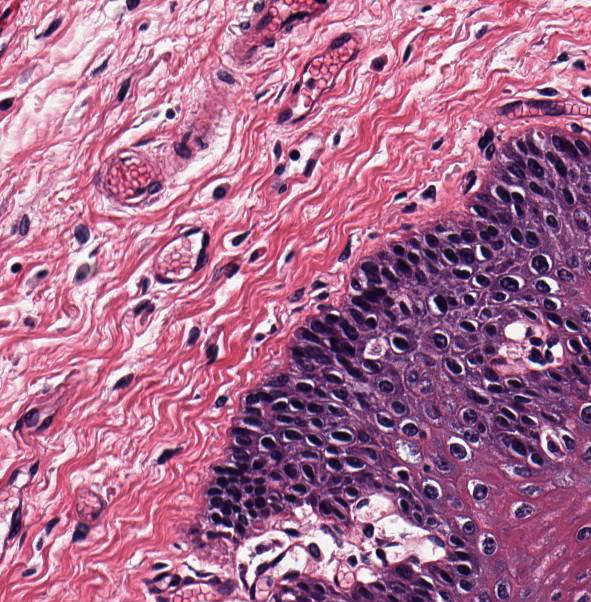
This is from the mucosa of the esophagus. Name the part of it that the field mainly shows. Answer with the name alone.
loose connective tissue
